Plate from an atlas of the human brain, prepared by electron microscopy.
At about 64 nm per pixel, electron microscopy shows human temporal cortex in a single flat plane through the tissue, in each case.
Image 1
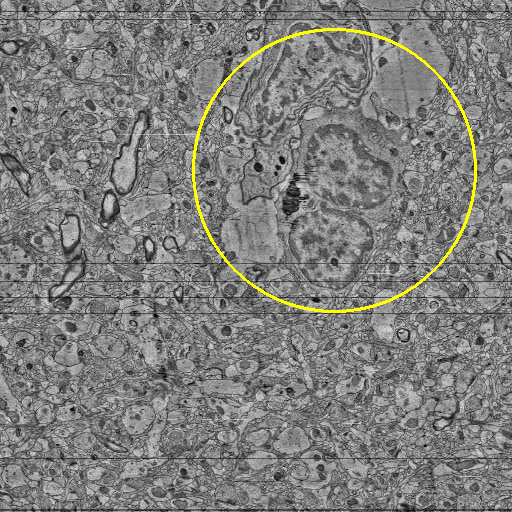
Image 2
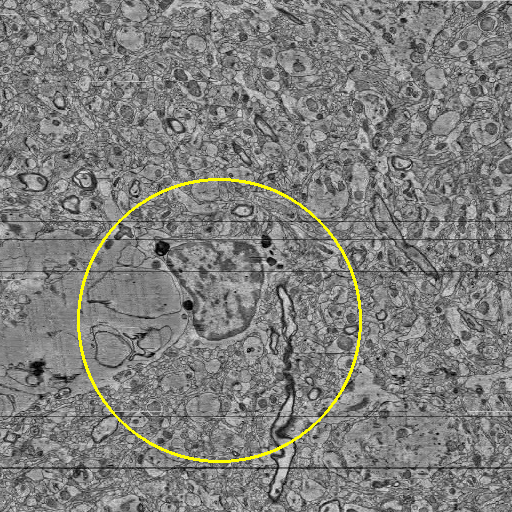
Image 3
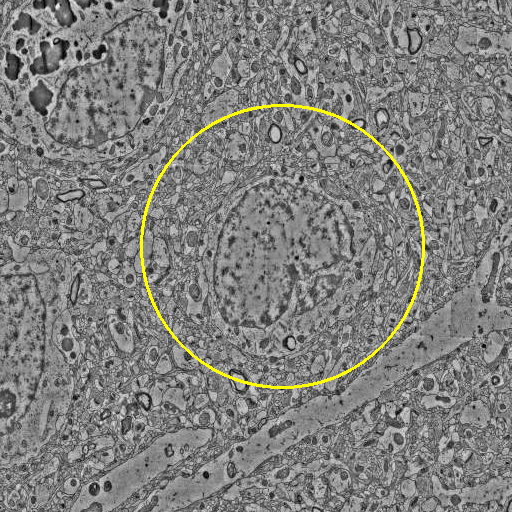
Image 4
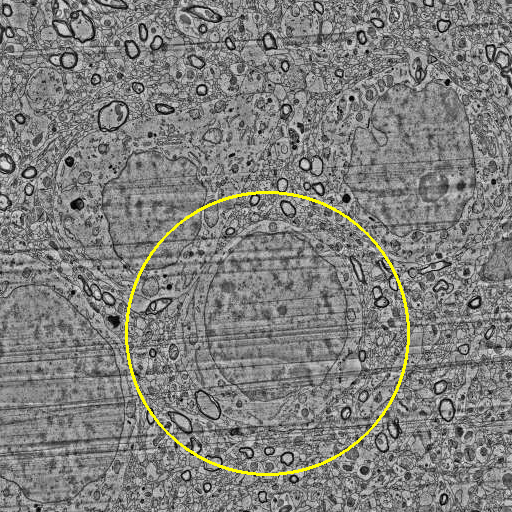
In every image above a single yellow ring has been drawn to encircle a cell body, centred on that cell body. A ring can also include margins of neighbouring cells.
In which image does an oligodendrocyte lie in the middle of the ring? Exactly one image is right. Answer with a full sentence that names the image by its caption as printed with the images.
Image 1 holds the requested cell at the very centre of its ring.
